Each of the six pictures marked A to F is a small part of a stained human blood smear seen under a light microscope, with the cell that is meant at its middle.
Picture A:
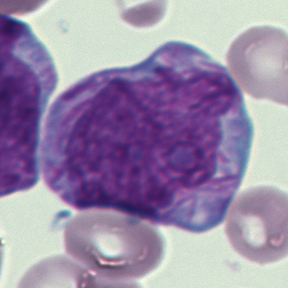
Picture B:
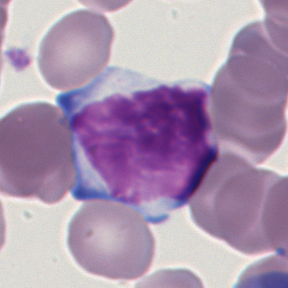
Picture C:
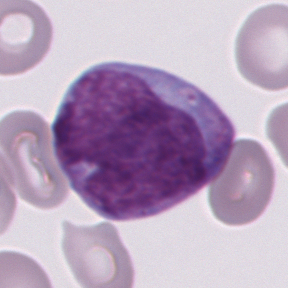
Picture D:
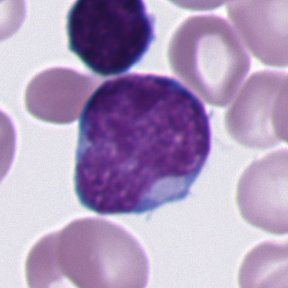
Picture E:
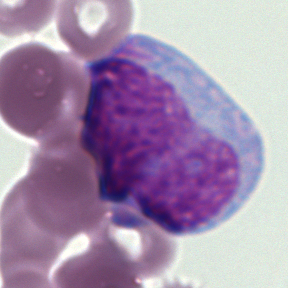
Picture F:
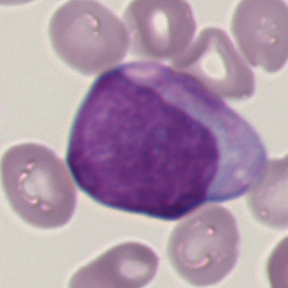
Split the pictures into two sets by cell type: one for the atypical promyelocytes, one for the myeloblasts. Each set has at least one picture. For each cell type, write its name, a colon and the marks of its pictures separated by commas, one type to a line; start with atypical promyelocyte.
atypical promyelocyte: A, C, E, F
myeloblast: B, D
